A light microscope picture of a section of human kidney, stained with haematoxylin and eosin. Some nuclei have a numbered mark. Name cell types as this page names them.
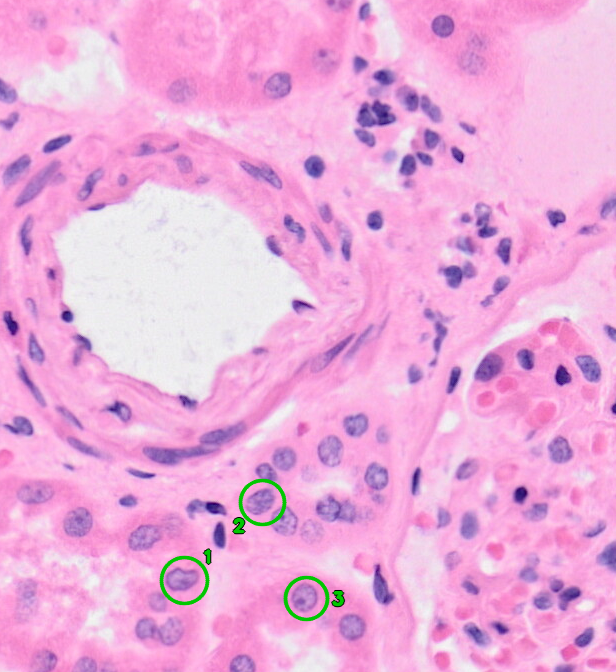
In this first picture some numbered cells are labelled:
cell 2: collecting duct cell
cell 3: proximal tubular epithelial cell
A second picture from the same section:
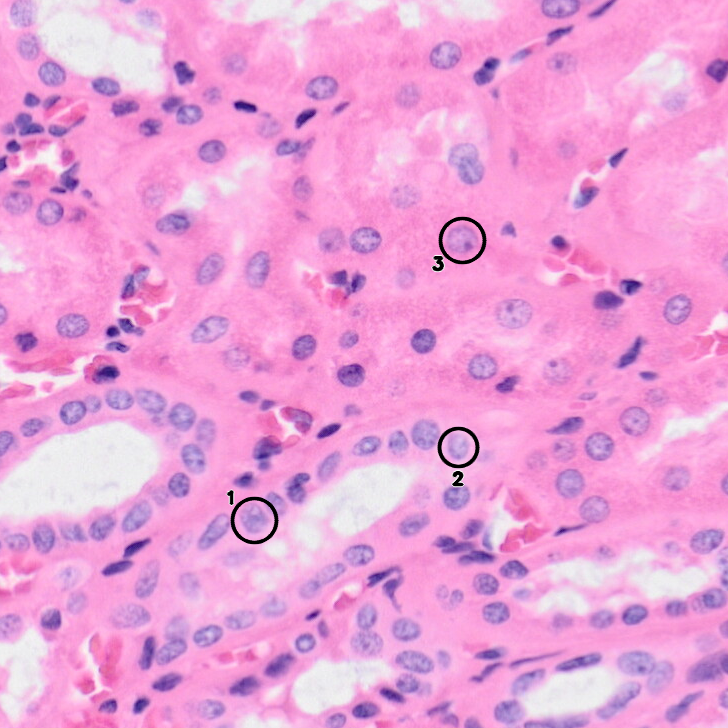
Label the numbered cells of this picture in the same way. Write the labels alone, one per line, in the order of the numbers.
collecting duct cell
collecting duct cell
proximal tubular epithelial cell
